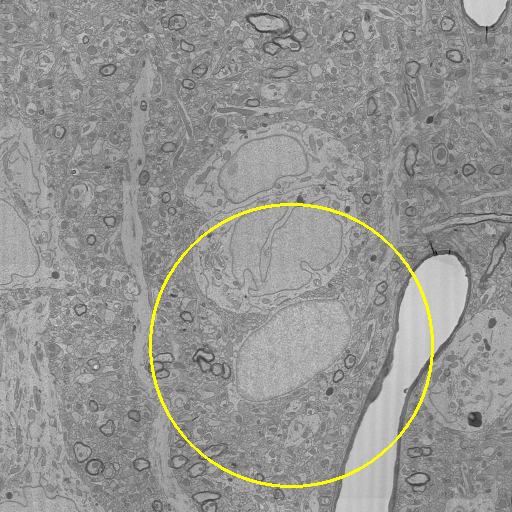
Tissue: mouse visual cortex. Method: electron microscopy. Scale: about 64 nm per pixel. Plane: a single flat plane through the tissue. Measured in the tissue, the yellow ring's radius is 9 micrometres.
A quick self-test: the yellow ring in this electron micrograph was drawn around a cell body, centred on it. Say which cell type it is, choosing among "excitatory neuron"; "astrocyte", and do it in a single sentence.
The yellow-ringed cell is an astrocyte.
